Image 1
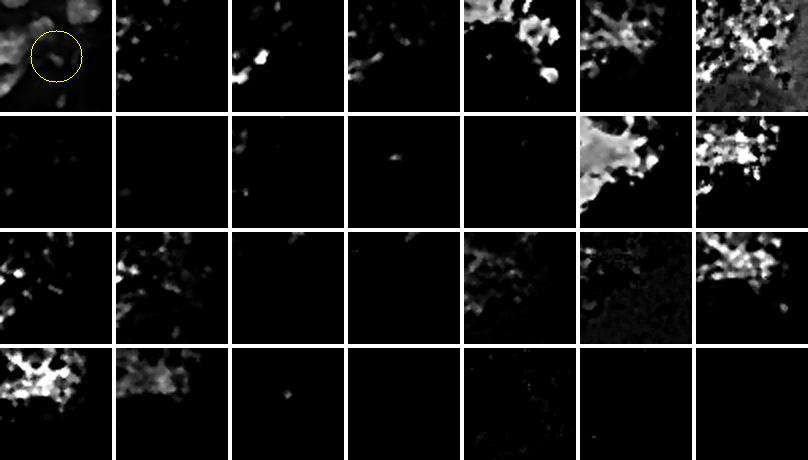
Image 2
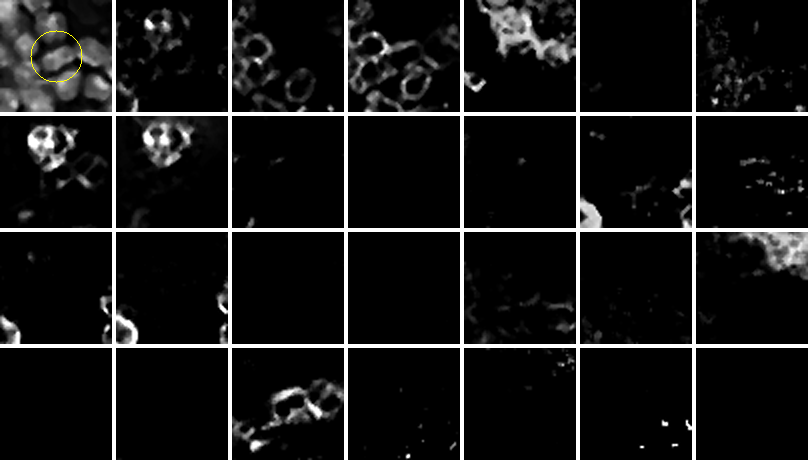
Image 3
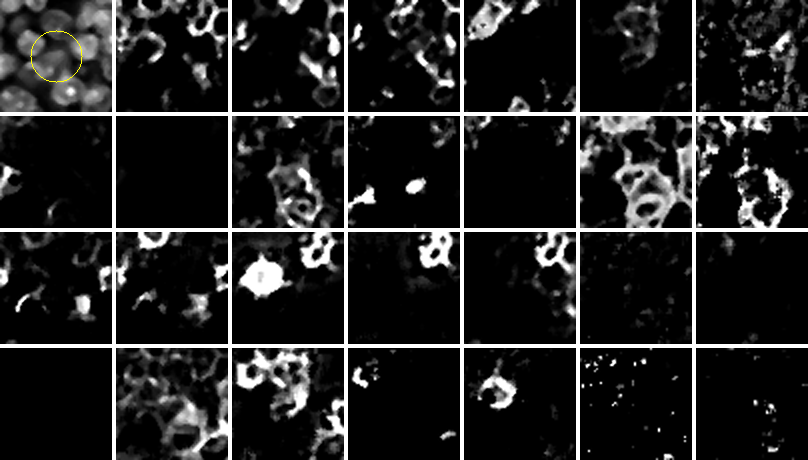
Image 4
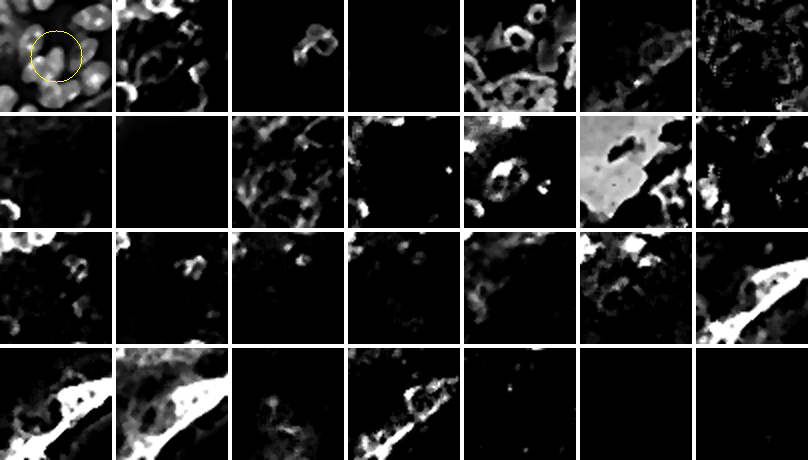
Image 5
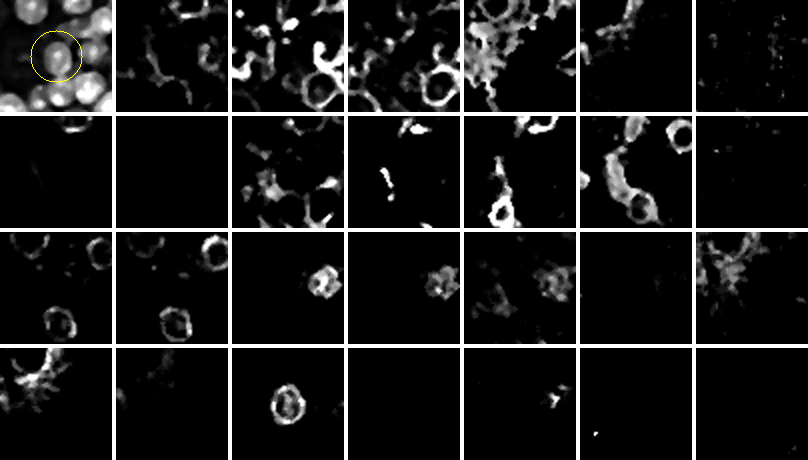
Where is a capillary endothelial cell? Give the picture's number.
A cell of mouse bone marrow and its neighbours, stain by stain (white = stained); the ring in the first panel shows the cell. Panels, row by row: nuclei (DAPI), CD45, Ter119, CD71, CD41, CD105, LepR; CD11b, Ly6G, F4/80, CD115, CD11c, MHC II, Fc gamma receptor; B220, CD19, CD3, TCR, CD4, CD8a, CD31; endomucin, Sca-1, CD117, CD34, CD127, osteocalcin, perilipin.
4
